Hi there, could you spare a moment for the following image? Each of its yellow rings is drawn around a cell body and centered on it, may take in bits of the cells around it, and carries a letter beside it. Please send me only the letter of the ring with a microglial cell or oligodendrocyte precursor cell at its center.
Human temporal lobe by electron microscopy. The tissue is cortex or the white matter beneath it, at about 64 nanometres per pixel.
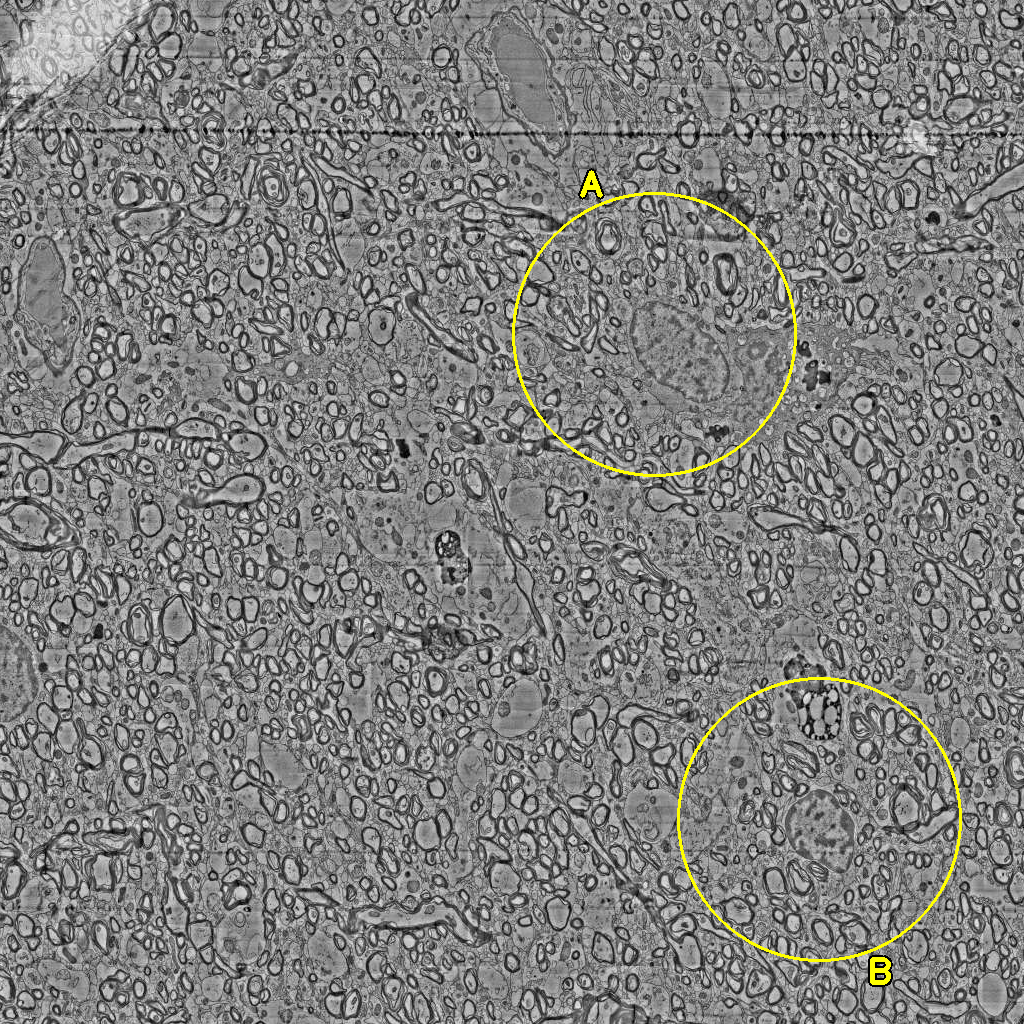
B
